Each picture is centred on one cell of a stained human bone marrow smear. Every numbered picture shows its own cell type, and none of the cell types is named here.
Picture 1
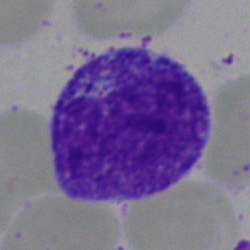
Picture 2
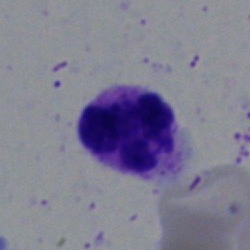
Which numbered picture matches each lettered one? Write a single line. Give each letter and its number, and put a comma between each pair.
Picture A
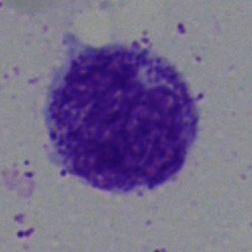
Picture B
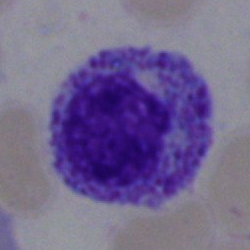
A 1, B 1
